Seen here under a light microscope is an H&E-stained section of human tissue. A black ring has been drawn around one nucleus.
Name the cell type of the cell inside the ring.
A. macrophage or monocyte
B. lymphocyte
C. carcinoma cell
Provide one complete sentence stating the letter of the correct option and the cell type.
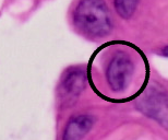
It is as option C has it, the cell inside the ring being a carcinoma cell.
